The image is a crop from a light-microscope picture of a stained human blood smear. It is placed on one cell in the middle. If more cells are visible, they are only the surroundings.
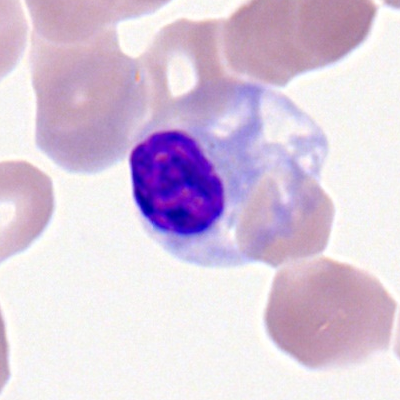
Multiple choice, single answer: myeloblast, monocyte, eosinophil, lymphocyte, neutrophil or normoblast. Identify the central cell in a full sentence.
Standing at the centre of this crop is a normoblast.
